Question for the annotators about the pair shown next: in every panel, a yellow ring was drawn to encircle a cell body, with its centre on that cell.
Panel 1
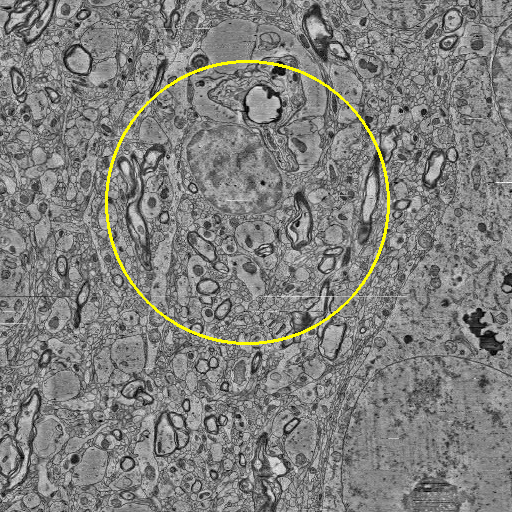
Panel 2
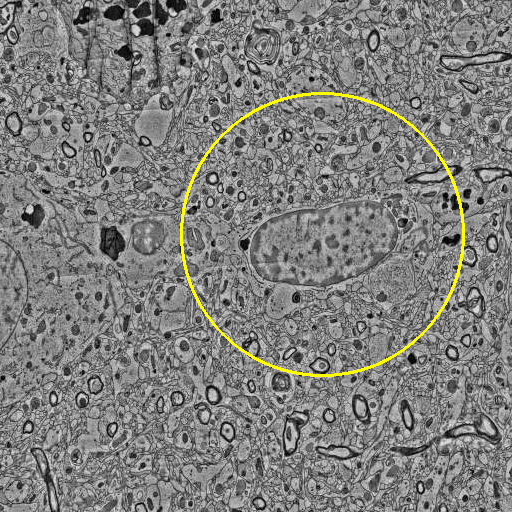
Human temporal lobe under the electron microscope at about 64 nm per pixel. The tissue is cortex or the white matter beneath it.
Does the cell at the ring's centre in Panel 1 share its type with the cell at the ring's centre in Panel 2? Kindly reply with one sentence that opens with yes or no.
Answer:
No, in Panels 1 and 2 the cells at the ring centres belong to separate types.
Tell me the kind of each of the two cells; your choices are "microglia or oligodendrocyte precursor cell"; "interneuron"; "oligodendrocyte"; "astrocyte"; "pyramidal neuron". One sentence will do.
The ringed cell is an oligodendrocyte in the first picture and a microglial cell or oligodendrocyte precursor cell in the second picture.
